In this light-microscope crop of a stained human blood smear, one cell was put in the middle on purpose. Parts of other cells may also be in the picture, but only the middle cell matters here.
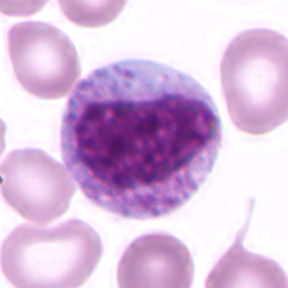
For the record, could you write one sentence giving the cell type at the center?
Here the cell in the middle is a metamyelocyte.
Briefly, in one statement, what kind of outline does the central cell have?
Its periphery is smooth, and no projections arise from it.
